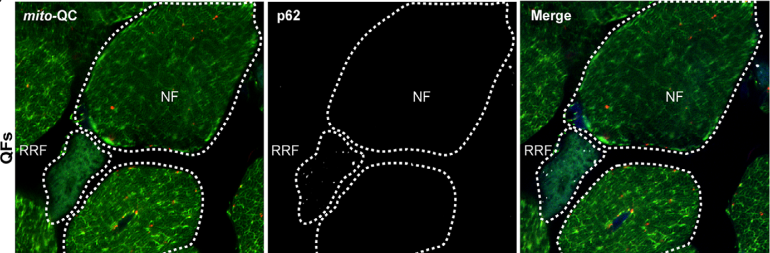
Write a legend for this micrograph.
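One smaller fiber at the left stands out: its green is dim, hazy and diffuse, lacking the sharp network of its neighbours, and in the grey channel it alone carries a few small bright dots of aggregated material. Another fiber has a nucleus lying in its centre rather than at its edge, with red puncta gathered around it. The grey channel is otherwise almost empty.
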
